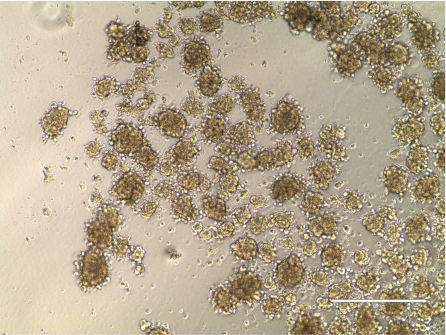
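Small round cells stand out along the outer border of each aggregate, giving a bumpy surface. The aggregates lie close together, some touching, and vary in size from small clumps to larger spheres. A few free single cells are scattered on the clear background around them.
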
